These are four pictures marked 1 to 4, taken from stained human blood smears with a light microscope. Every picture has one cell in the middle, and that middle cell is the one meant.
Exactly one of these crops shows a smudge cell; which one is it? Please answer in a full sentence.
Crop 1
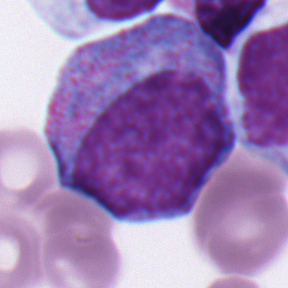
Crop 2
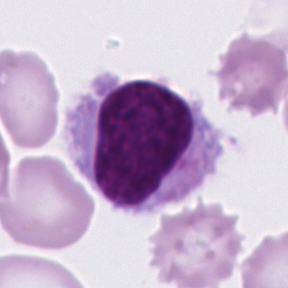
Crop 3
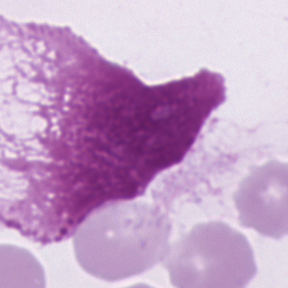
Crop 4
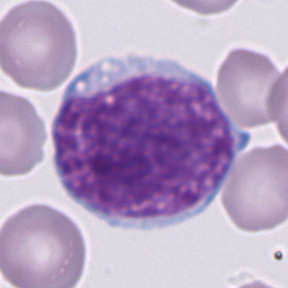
Crop 3 is the correct crop, and it shows a smudge cell.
